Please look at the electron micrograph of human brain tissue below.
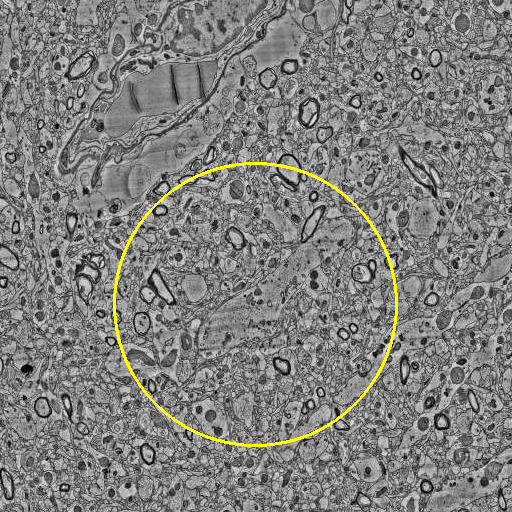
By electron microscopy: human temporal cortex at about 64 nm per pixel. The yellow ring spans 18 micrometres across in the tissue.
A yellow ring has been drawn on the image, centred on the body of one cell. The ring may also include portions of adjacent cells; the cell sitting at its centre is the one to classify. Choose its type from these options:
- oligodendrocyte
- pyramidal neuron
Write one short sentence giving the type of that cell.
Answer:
The cell in the middle of the ring is an oligodendrocyte.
